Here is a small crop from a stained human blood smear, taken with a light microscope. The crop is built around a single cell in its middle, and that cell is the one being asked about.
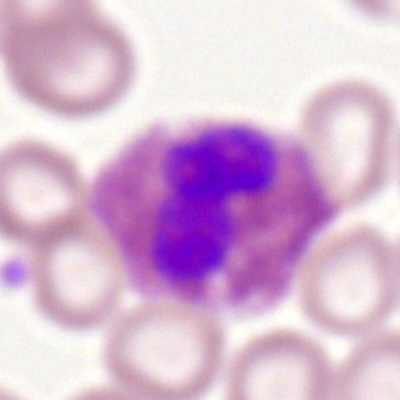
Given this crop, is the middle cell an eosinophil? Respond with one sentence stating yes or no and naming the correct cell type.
Yes, this central cell is an eosinophil.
